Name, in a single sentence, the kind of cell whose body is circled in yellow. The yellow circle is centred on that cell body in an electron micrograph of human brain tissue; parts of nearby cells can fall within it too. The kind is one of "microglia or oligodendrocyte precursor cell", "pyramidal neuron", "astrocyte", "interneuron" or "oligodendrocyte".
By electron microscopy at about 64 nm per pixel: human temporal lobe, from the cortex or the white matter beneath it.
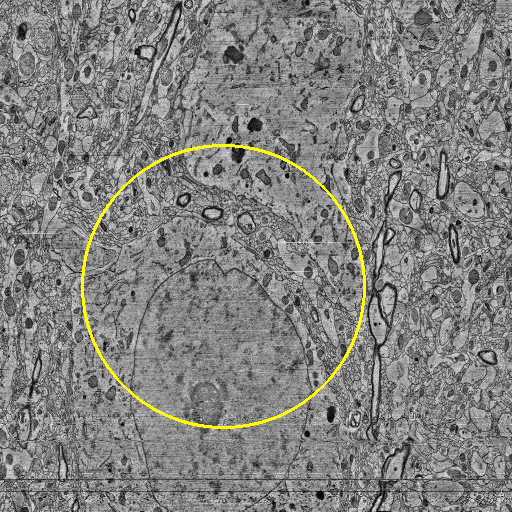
The circled cell body belongs to a pyramidal neuron.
